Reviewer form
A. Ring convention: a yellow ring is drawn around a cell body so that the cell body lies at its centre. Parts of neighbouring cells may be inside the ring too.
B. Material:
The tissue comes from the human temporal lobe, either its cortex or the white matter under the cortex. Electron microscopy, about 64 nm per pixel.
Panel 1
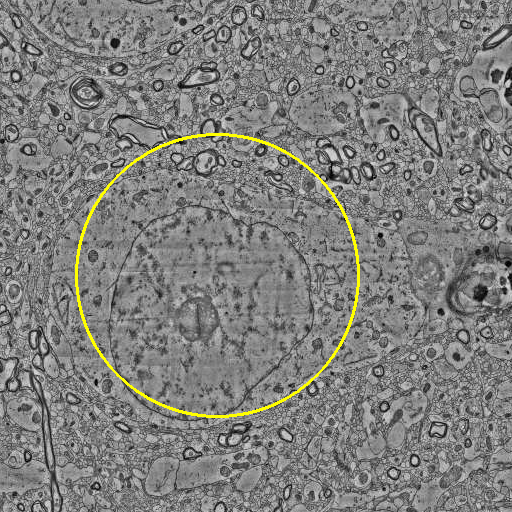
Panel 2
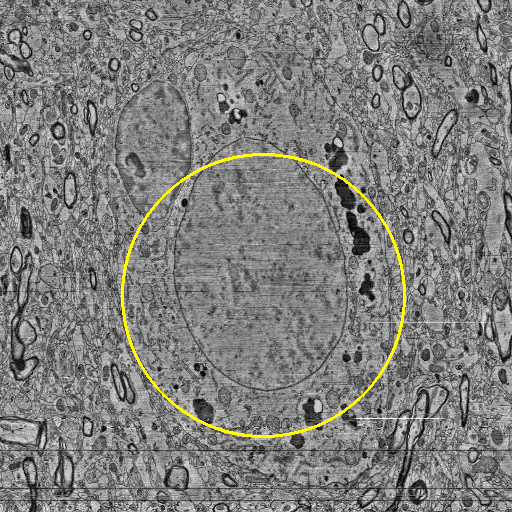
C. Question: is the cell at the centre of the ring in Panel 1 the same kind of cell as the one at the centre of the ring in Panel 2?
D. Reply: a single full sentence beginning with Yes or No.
Yes, the cells in Panel 1 and Panel 2 are the same kind of cell.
